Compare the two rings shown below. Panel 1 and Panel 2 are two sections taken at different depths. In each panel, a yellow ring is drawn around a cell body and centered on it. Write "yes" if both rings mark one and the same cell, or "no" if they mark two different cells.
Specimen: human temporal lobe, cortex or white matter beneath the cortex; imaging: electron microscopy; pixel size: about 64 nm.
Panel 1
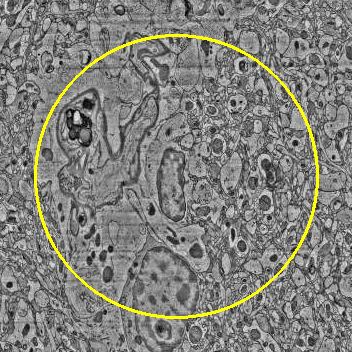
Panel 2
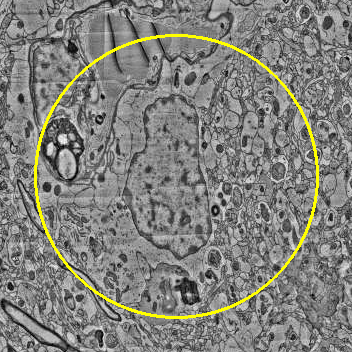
yes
